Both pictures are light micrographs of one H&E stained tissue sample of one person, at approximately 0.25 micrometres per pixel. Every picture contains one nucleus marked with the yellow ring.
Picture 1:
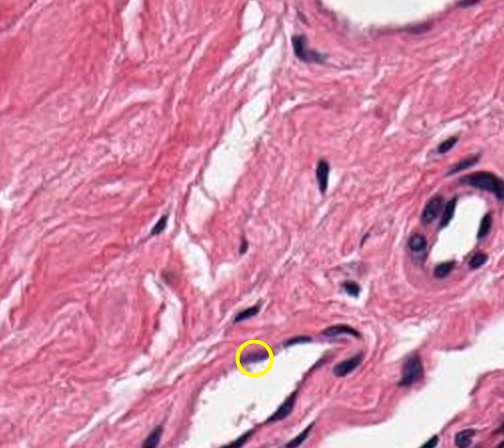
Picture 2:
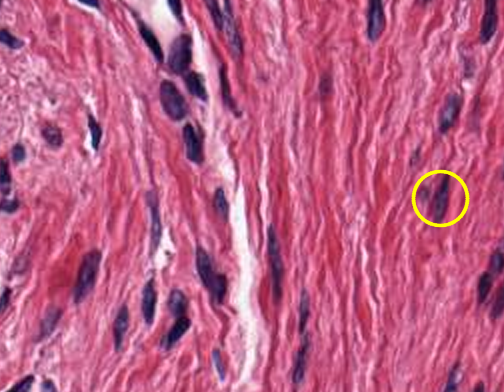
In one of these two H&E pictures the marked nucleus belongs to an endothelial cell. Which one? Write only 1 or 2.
1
